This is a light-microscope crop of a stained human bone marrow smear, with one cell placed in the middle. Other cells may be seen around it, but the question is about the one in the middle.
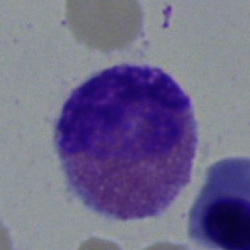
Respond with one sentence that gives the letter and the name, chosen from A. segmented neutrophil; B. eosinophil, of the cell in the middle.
The cell at the heart of the crop is an eosinophil, so choose option B.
